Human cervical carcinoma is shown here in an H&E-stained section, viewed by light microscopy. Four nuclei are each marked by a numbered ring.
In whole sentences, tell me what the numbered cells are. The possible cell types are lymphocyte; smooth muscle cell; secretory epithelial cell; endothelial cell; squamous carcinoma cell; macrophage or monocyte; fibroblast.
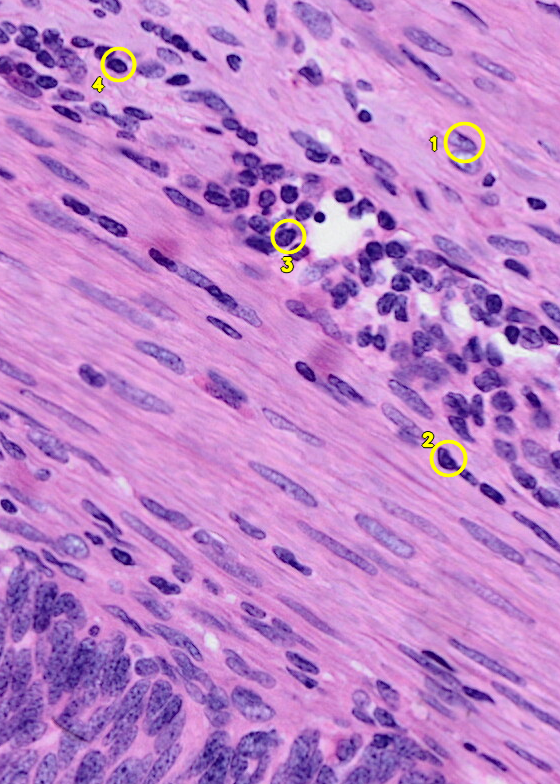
Cell 1 is an endothelial cell, cell 2 is a lymphocyte, cell 3 is a lymphocyte and cell 4 is a lymphocyte.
